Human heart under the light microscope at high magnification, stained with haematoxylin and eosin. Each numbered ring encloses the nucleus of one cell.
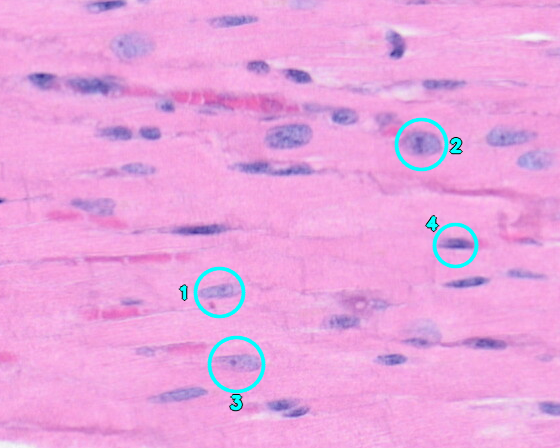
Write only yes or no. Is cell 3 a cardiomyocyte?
yes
